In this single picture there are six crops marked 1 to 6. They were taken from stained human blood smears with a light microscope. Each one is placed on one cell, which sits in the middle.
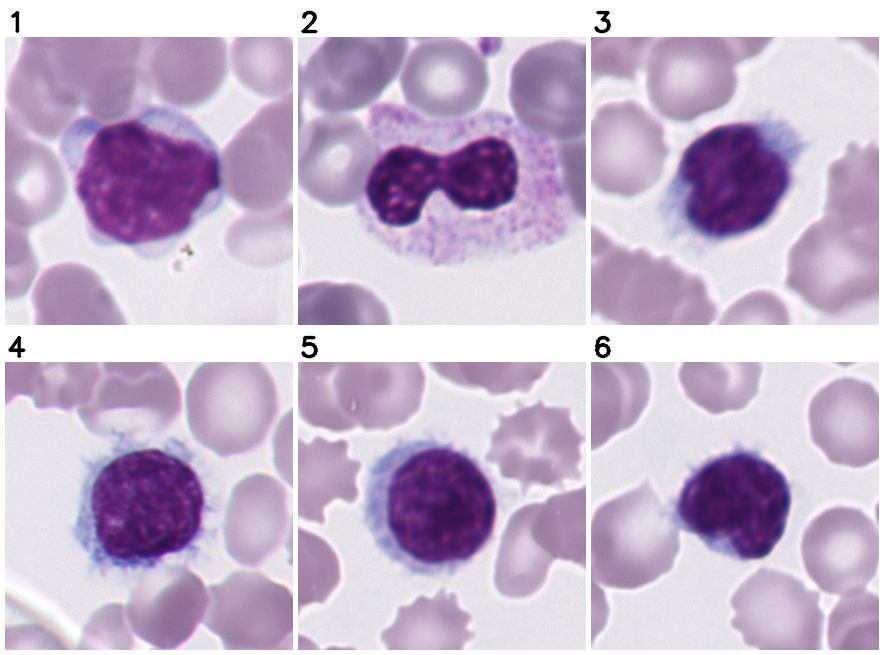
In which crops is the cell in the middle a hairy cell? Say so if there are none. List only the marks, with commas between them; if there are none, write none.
3, 4, 5, 6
